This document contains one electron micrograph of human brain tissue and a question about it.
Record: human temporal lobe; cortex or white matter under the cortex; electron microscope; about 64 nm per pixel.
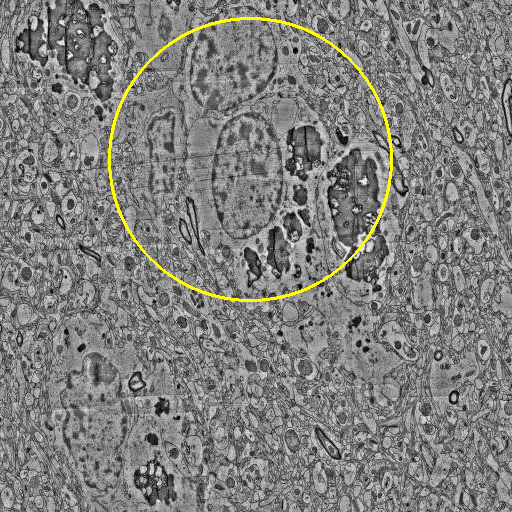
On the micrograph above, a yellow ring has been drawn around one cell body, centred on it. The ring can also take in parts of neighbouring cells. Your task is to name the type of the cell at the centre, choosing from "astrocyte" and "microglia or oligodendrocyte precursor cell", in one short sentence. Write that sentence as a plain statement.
Here the ring is centred on an astrocyte.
